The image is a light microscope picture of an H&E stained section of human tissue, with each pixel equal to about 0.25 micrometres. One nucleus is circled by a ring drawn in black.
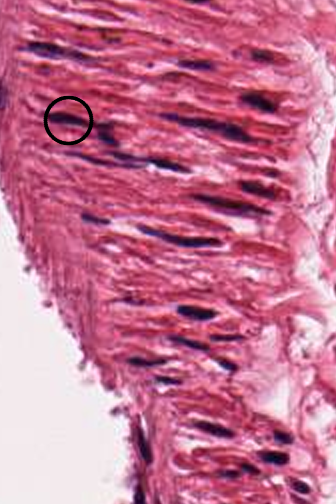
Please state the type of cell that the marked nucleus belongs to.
smooth muscle cell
